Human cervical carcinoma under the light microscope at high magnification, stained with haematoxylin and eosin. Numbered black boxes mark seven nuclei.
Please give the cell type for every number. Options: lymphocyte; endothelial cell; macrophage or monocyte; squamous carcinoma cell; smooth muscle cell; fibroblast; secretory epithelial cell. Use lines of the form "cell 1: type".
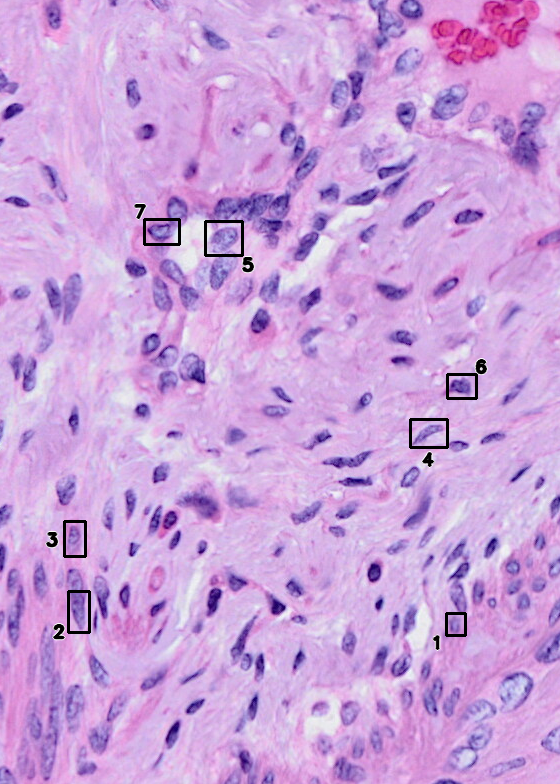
cell 1: smooth muscle cell
cell 2: smooth muscle cell
cell 3: smooth muscle cell
cell 4: fibroblast
cell 5: endothelial cell
cell 6: fibroblast
cell 7: endothelial cell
